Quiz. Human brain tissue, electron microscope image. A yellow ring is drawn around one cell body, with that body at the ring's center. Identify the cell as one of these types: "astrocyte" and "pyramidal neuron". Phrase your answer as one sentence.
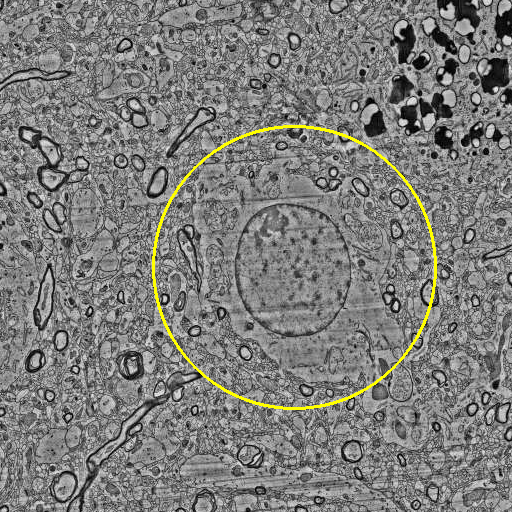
At the center of the ring sits an astrocyte.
